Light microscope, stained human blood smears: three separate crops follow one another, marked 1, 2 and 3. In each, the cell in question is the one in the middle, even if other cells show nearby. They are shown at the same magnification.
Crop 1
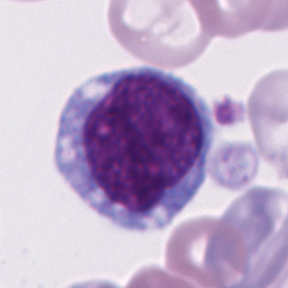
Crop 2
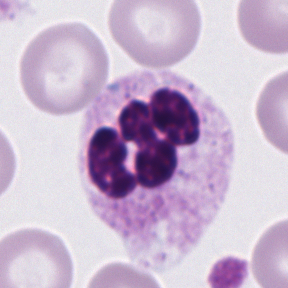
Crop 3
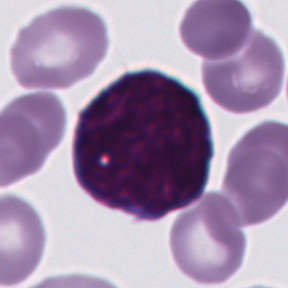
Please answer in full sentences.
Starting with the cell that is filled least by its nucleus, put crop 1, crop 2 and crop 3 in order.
The least filled comes first: 2, 1, 3.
